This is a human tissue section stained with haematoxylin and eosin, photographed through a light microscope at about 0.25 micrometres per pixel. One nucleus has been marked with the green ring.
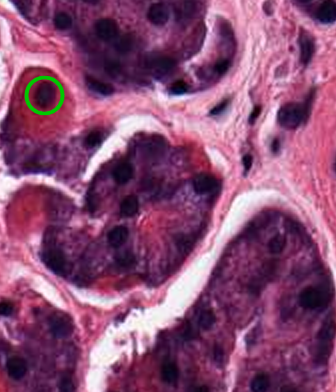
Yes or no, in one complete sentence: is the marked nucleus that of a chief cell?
No, the marked nucleus is that of a parietal cell, not of a chief cell.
